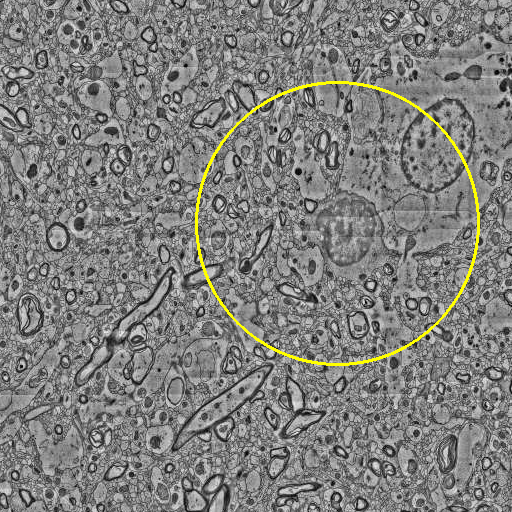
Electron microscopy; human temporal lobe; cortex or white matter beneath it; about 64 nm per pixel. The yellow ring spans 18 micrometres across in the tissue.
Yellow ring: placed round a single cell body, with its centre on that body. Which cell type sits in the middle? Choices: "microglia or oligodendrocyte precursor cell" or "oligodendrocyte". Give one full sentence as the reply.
It is an oligodendrocyte whose cell body sits at the centre of the yellow ring.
